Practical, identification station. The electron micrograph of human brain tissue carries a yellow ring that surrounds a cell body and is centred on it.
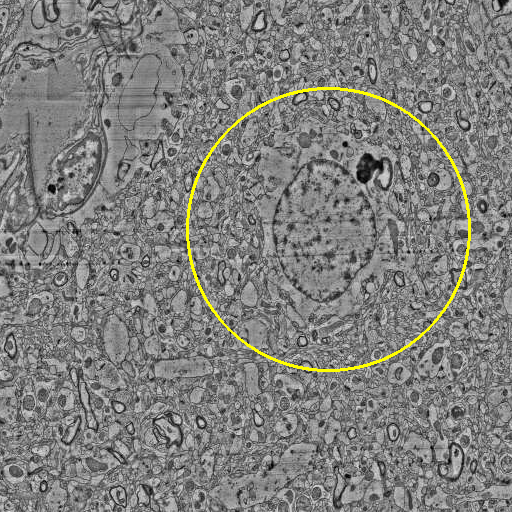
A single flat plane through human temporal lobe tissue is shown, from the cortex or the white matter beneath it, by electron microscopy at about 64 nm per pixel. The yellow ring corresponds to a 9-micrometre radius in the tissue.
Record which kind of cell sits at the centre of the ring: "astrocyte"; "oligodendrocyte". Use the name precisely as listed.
astrocyte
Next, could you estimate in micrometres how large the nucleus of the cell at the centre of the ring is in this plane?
About 9 by 7 micrometers, in this plane.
